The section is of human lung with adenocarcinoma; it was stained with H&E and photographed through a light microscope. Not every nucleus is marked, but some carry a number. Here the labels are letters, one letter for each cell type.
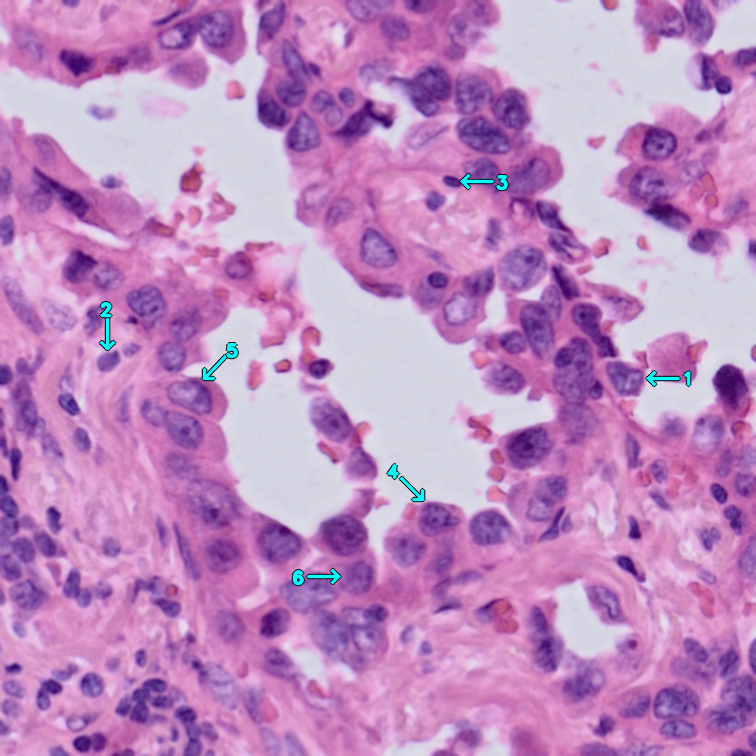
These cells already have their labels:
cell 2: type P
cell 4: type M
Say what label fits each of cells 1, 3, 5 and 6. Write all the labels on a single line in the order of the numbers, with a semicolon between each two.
type M; type P; type M; type M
